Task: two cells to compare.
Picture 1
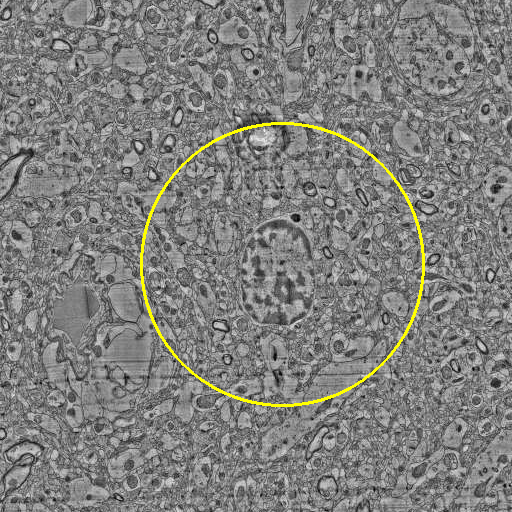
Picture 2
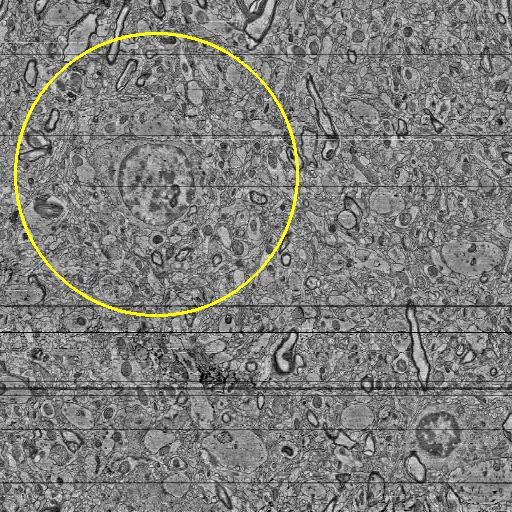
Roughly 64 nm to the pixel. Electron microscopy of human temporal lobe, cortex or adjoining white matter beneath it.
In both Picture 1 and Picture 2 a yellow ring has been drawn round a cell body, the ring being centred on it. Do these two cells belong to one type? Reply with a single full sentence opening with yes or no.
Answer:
No, the two cells at the ring centres in Picture 1 and Picture 2 are of two types.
